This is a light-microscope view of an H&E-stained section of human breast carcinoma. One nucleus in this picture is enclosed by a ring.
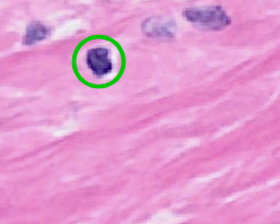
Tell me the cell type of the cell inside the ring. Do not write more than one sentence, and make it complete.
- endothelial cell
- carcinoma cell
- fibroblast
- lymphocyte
In the context of this tissue, the cell inside the ring is a lymphocyte.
